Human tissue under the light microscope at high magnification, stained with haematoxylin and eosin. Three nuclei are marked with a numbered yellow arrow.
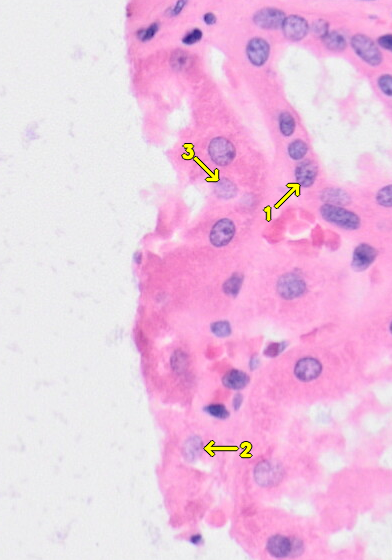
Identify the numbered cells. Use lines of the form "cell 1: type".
cell 1: collecting duct cell
cell 2: proximal tubule cell
cell 3: proximal tubule cell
